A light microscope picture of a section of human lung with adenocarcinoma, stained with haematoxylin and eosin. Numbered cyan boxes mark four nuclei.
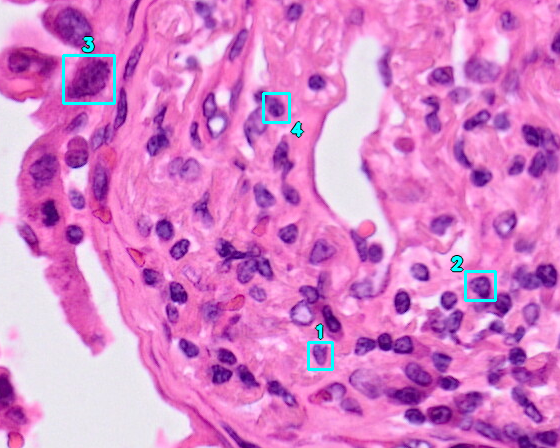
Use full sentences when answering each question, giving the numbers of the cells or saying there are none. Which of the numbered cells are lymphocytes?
Cells that were given the numbers 1, 2 and 4 are lymphocytes.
